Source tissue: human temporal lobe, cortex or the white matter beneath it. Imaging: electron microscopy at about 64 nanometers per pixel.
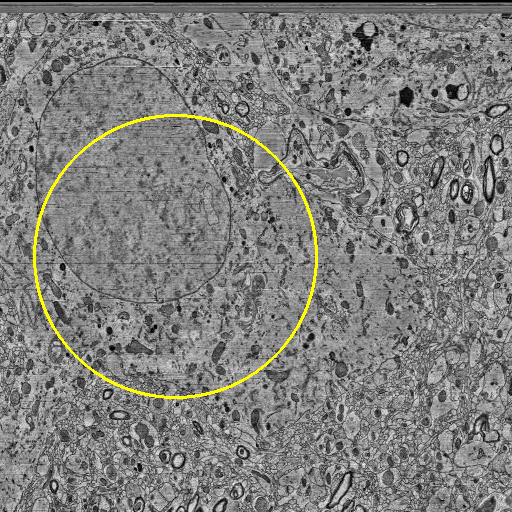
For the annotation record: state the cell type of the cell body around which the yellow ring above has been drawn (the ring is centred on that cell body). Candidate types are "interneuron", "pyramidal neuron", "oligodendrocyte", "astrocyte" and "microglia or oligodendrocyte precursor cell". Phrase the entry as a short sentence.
The ringed cell is a pyramidal neuron.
